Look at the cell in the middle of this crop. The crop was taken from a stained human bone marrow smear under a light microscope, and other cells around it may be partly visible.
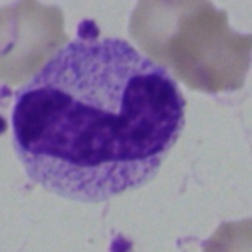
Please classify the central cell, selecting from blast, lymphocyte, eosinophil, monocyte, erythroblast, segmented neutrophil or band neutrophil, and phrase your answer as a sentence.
The cell the crop is centered on is a band neutrophil.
